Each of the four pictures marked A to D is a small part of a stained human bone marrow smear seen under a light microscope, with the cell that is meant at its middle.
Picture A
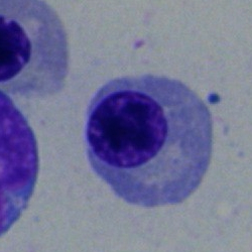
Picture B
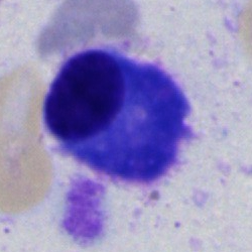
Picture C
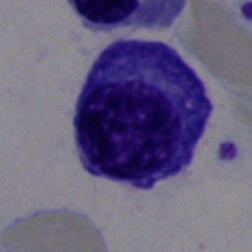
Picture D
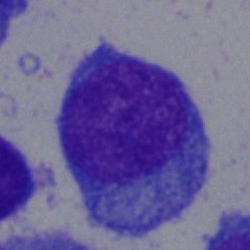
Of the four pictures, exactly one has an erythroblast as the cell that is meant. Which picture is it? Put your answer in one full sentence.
The erythroblast is the one in picture A.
